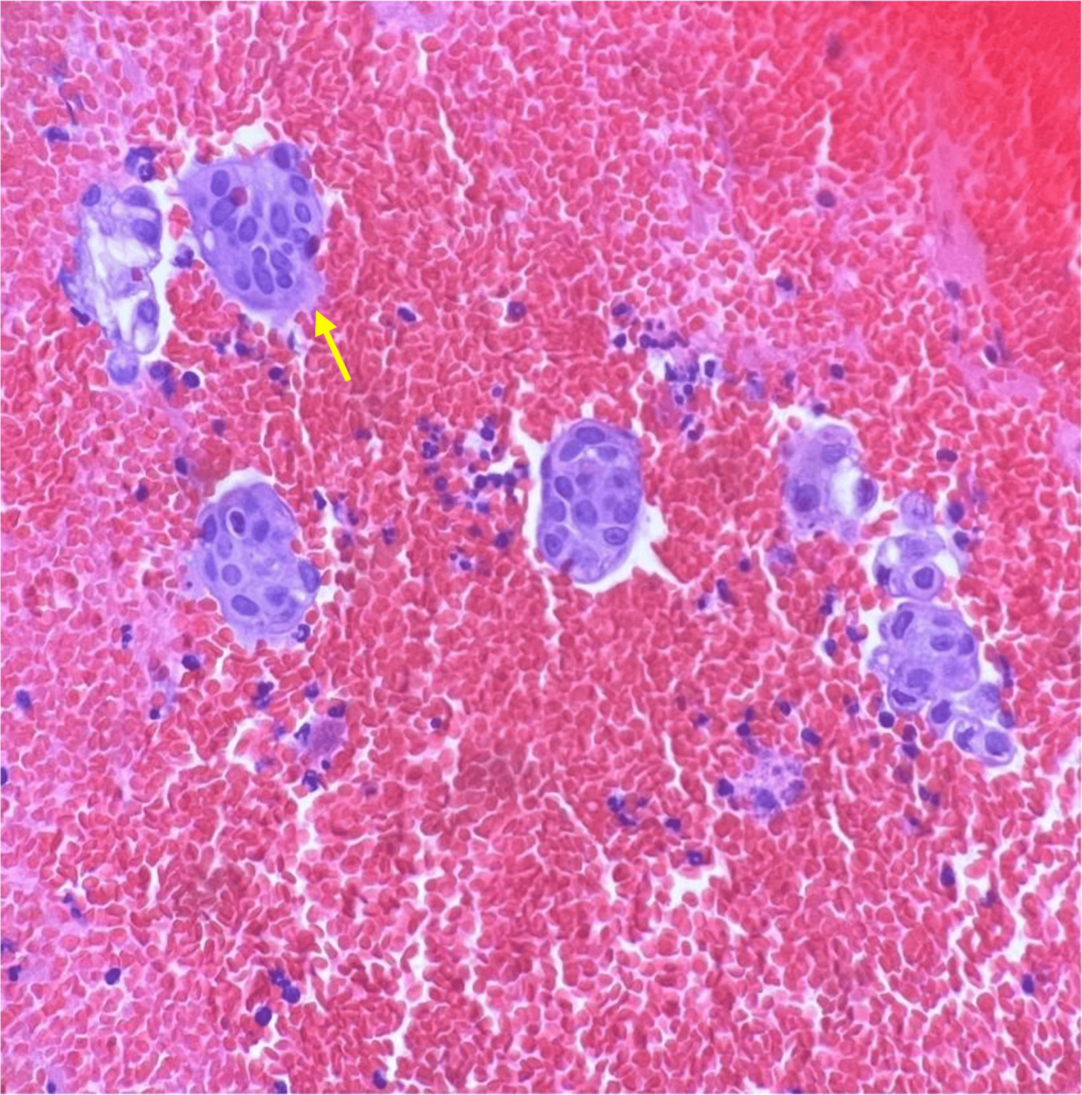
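The background is packed with red-pink red blood cells, with scattered small dark-purple inflammatory cells between them. The atypical cells form tight three-dimensional groups of roughly five to fifteen cells with pale purple cytoplasm. The cytoplasm at the edges of the groups looks finely vacuolated, and one group at upper left has clear, bubbly spaces.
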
